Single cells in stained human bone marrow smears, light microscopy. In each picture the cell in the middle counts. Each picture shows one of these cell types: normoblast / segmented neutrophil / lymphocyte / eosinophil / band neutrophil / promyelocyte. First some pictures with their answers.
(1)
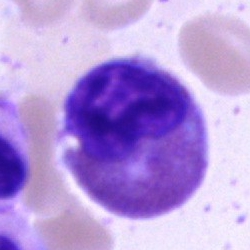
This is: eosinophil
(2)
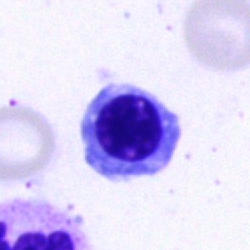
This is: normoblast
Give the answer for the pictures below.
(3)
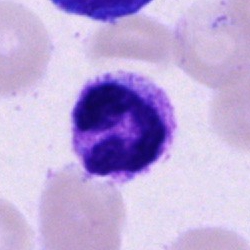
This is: segmented neutrophil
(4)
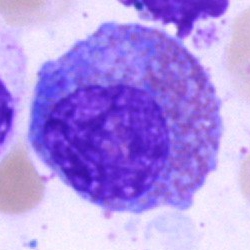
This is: eosinophil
